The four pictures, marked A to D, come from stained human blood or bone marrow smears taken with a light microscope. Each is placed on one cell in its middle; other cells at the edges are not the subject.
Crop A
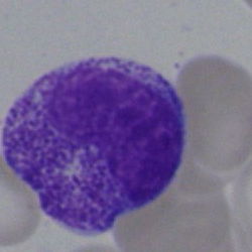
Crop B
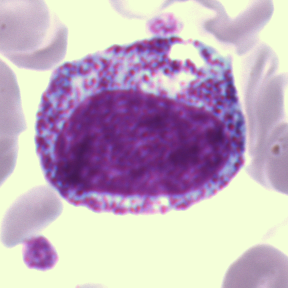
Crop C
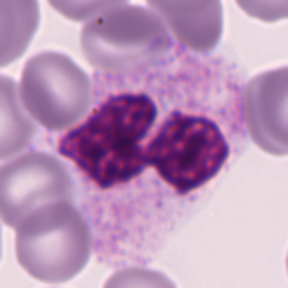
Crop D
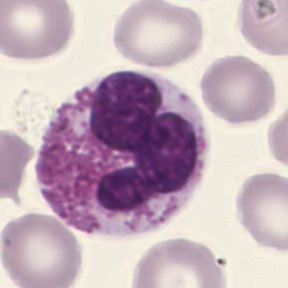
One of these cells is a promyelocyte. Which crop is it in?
B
